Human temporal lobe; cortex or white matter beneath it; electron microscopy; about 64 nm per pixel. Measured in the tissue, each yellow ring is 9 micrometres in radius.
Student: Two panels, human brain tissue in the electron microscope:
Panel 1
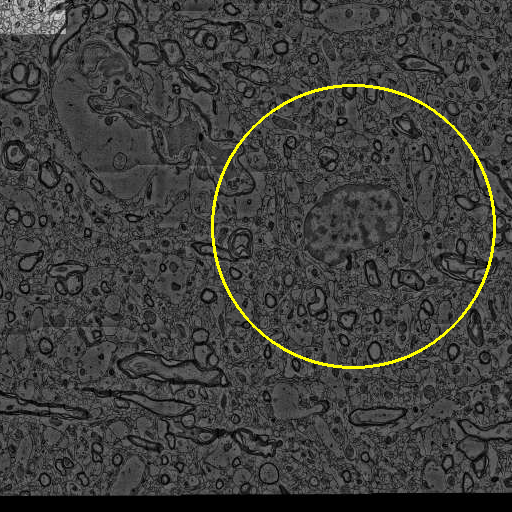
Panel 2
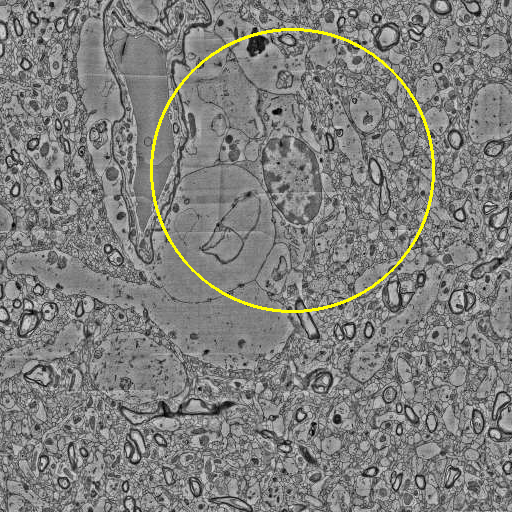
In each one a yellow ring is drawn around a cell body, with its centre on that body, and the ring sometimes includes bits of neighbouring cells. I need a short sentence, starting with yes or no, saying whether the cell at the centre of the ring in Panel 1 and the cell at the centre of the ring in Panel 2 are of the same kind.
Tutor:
Yes, they are the same kind of cell.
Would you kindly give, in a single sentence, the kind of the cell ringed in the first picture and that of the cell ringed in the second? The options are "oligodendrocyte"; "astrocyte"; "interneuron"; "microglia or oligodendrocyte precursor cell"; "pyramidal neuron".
Both pictures show a microglial cell or oligodendrocyte precursor cell at the centre of the ring.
